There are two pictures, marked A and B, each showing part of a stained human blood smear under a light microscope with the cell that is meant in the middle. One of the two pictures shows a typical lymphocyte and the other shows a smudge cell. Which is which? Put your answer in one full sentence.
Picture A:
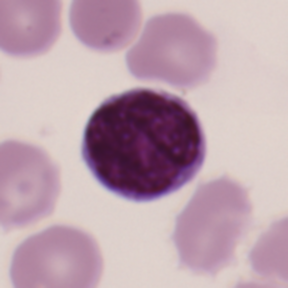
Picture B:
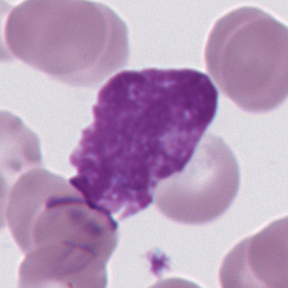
It is picture A that shows a typical lymphocyte, and picture B that shows a smudge cell.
